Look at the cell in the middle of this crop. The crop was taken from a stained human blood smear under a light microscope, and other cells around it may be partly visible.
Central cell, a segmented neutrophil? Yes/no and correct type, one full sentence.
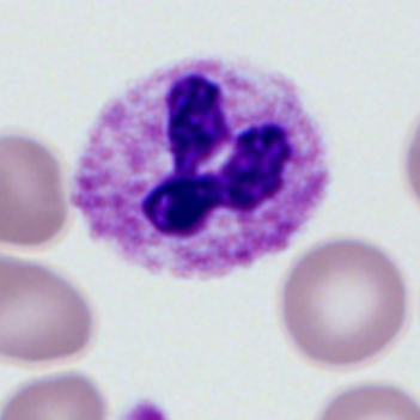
Yes, the central cell is to be recorded as a segmented neutrophil.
